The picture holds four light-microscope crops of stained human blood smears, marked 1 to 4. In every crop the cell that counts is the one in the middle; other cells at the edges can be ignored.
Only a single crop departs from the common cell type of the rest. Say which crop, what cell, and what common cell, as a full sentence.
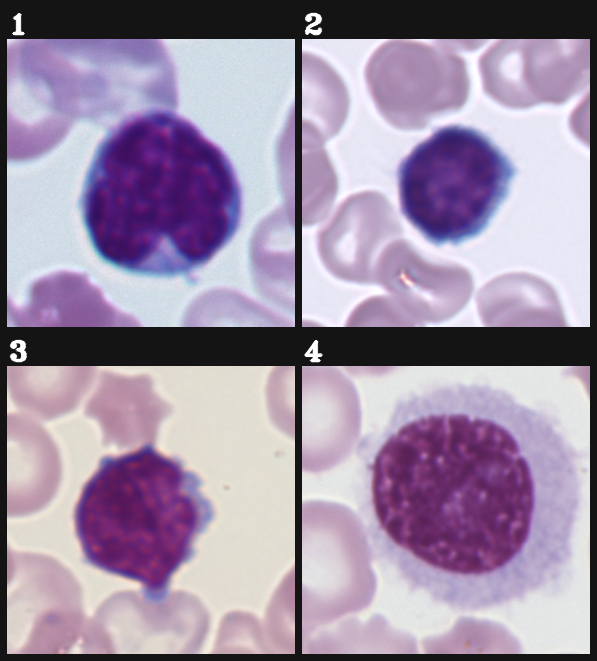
Of all the crops, only crop 4 shows a hairy cell; the others show typical lymphocytes.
